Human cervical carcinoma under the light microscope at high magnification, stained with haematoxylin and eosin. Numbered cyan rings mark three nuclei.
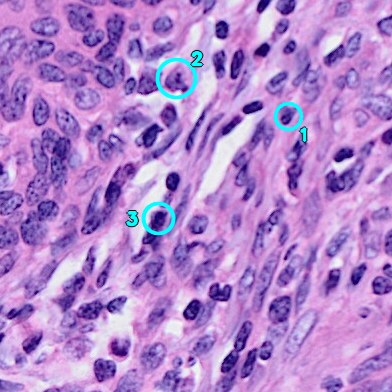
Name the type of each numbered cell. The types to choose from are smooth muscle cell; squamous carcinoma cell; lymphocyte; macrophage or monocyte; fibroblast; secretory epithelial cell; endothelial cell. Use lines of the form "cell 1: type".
cell 1: lymphocyte
cell 2: macrophage or monocyte
cell 3: lymphocyte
